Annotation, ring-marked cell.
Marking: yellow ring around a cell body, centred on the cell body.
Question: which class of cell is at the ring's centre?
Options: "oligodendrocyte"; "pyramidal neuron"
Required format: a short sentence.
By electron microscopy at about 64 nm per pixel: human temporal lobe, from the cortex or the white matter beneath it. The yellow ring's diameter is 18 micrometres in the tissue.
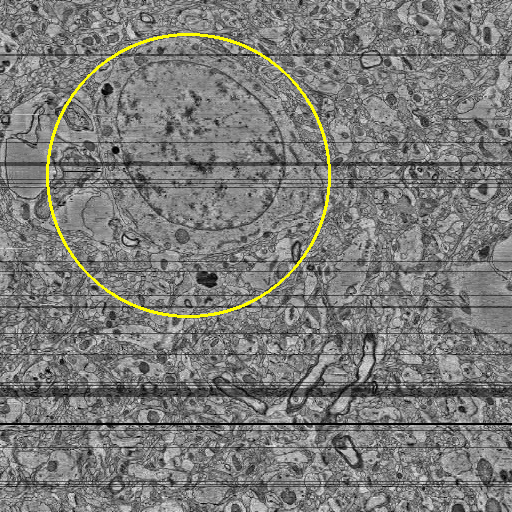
At the ring's centre is a pyramidal neuron.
